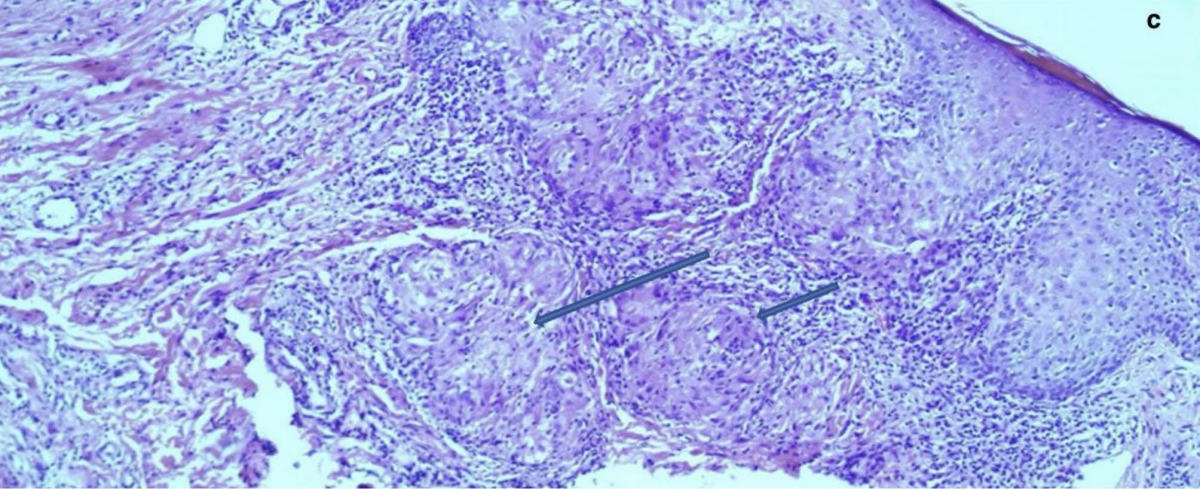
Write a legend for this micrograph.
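This section of skin shows granulomas within the dermis: rounded nodules of pale pink cells with abundant cytoplasm and oval, pale nuclei. Each nodule is surrounded by a dense rim of small, dark-blue round cells, and this infiltrate fills much of the upper dermis. Toward the lower left the dermis is looser, with pink collagen strands and scattered vessels.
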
